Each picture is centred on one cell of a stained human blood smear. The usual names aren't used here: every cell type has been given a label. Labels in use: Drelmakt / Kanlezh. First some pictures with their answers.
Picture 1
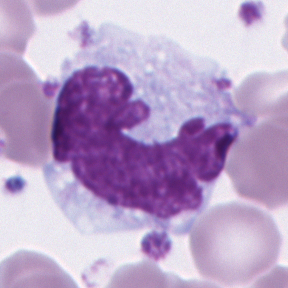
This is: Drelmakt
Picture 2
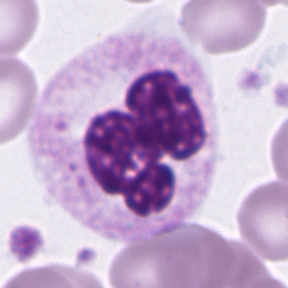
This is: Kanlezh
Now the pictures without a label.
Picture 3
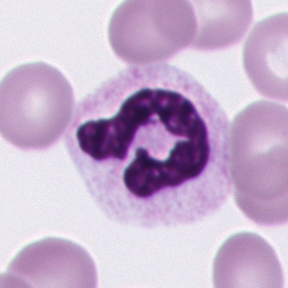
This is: Kanlezh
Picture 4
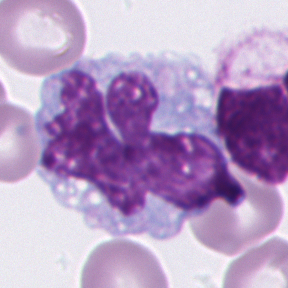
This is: Drelmakt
